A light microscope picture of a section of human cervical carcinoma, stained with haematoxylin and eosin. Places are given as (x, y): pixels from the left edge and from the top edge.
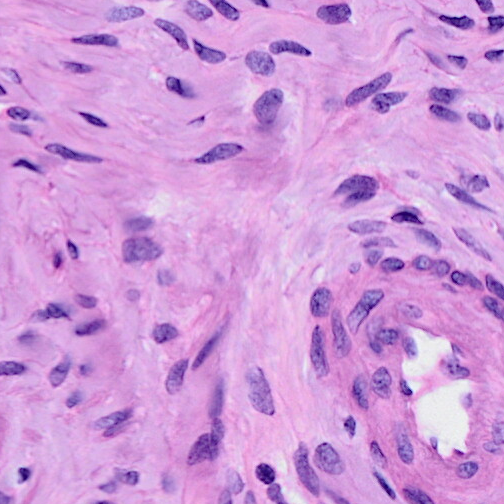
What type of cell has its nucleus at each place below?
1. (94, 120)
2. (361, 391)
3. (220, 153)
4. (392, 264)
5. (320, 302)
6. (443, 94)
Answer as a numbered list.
1. fibroblast
2. smooth muscle cell
3. fibroblast
4. smooth muscle cell
5. smooth muscle cell
6. fibroblast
